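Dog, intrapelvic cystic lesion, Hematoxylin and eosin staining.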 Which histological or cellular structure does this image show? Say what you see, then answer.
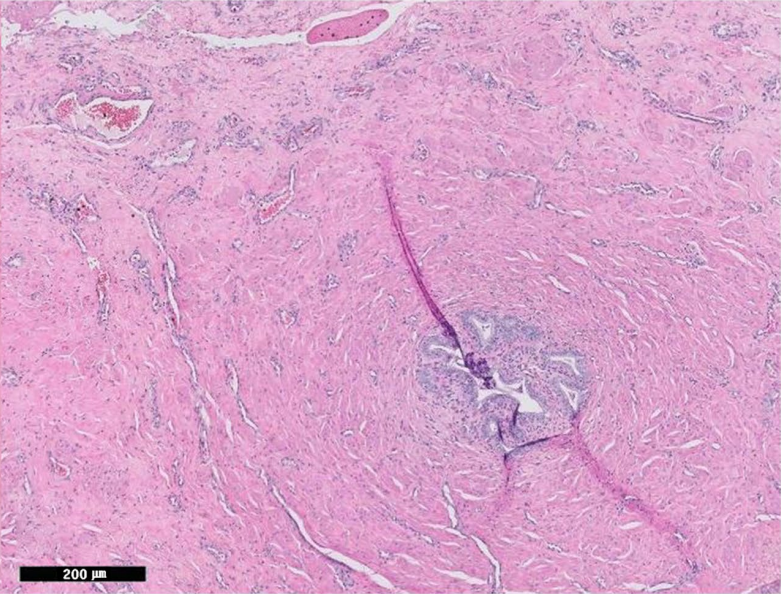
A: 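A small cluster of epithelium-lined ducts with a branching lumen lies near the center. The ducts sit within dense pink fibromuscular stroma with scattered blood vessels. That points to this answer: glandular ductules.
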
